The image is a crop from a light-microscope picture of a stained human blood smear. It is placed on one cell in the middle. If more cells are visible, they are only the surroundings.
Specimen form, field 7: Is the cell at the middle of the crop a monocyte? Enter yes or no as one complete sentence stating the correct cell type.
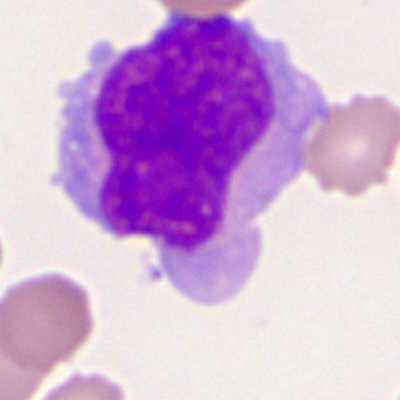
Yes, the cell at the middle is a monocyte.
